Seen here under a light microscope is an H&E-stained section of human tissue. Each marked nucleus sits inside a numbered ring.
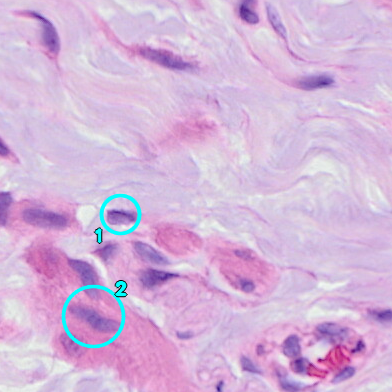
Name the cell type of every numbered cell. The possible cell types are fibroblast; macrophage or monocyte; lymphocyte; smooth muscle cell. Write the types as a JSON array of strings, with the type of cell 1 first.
["fibroblast", "smooth muscle cell"]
